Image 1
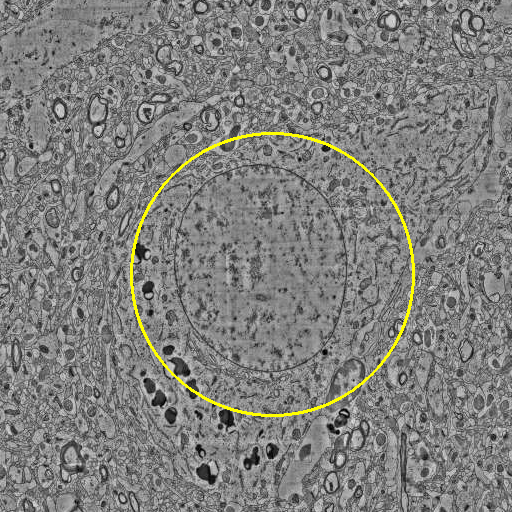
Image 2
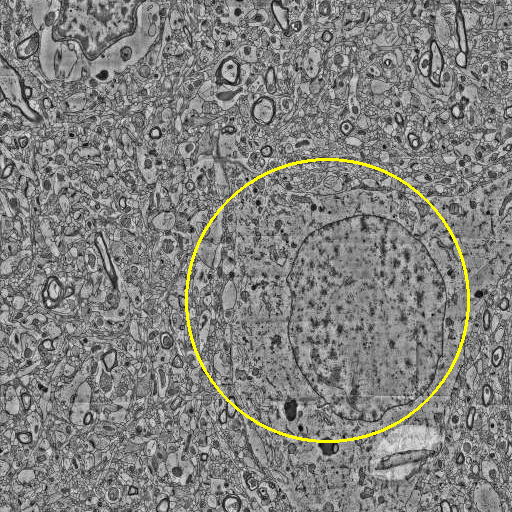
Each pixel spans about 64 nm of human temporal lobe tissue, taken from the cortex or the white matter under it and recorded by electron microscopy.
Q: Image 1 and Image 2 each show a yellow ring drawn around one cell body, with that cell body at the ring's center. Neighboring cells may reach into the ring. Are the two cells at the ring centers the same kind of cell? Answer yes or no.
yes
